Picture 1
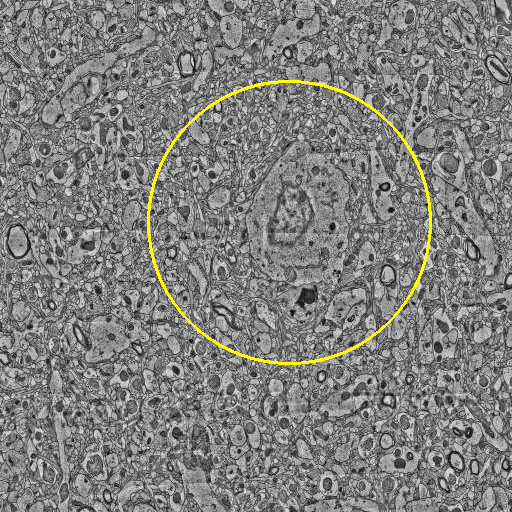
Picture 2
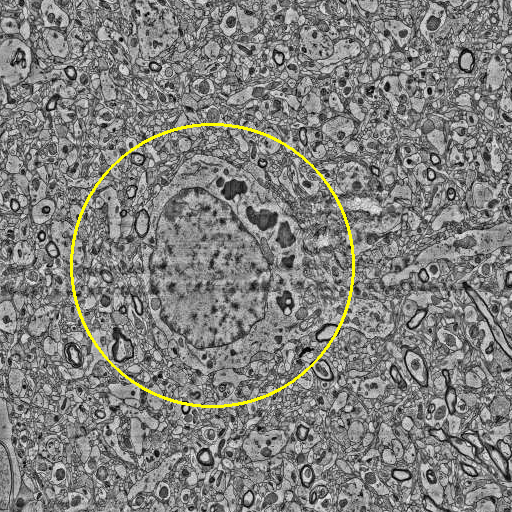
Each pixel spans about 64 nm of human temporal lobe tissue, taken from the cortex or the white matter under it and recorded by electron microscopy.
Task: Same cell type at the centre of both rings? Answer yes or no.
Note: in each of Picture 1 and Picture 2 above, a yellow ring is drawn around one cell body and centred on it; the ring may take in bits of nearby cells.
yes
